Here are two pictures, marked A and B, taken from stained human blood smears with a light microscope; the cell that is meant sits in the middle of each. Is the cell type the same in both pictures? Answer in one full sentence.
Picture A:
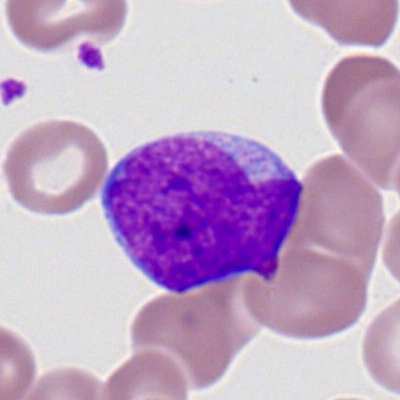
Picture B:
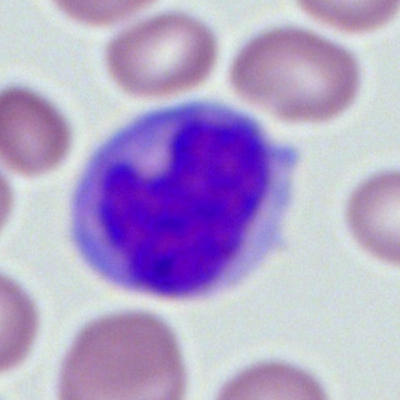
No. Picture A shows a myeloblast, but picture B shows a monocyte.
